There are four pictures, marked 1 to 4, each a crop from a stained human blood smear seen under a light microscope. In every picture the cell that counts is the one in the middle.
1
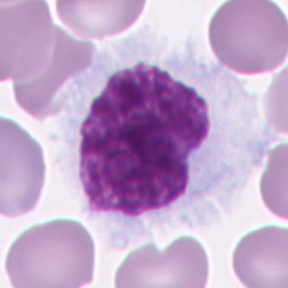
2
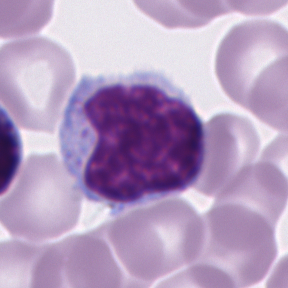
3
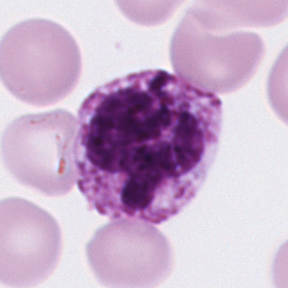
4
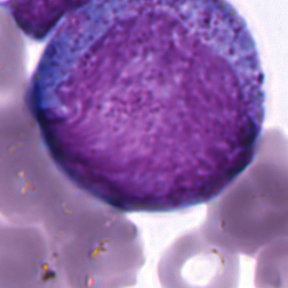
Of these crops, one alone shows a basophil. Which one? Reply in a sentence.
Of these crops, it is crop 3 that shows a basophil.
